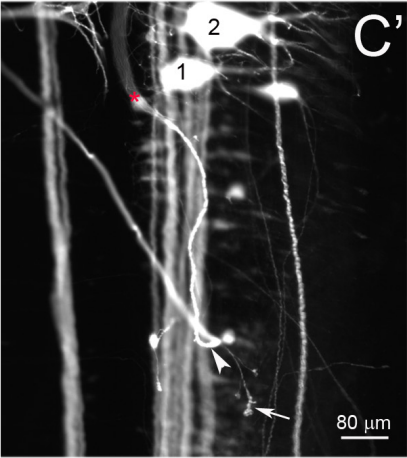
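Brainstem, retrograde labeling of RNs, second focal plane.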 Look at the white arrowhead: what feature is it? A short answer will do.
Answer: The point of axon looping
